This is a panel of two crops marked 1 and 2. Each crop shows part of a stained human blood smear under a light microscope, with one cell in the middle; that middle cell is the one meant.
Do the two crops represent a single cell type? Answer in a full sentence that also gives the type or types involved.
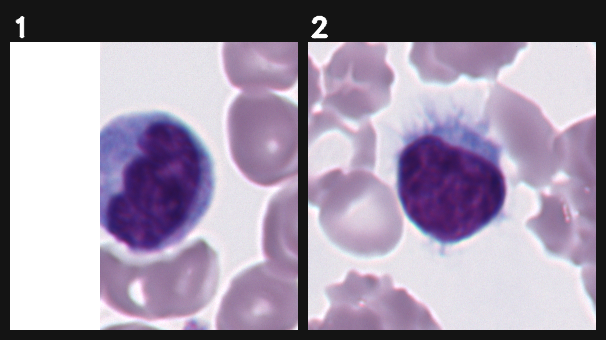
No, a monocyte occupies the middle of crop 1, and a hairy cell the middle of crop 2.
